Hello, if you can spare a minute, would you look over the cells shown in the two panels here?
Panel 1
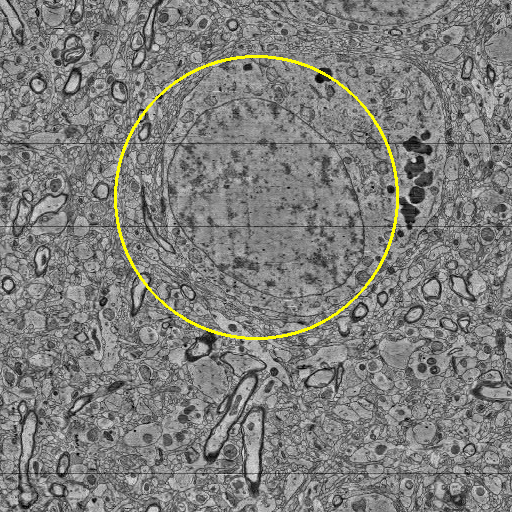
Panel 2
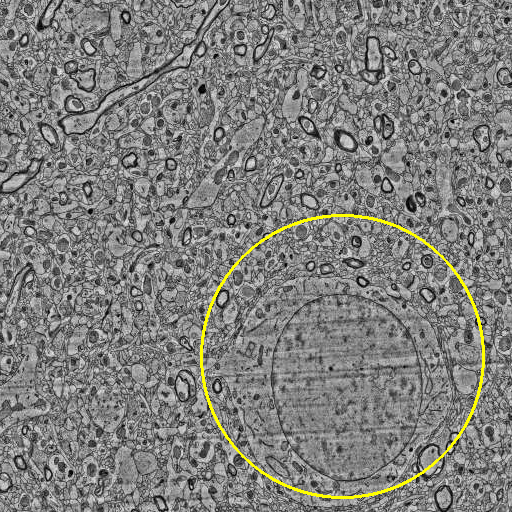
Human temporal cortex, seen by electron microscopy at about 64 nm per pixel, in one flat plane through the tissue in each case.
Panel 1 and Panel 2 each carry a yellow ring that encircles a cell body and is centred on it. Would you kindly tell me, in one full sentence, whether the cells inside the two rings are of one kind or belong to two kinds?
The cells at the centres of the rings in Panel 1 and Panel 2 are of one kind.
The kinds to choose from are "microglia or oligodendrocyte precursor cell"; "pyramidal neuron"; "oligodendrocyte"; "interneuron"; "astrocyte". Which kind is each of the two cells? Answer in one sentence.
Both rings mark a pyramidal neuron, one in each picture.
